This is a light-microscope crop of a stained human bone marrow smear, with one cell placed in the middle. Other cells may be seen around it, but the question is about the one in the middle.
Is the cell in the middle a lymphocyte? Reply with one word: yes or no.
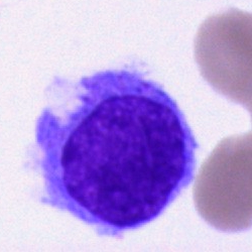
no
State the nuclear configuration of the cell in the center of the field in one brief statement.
The nuclear material is gathered into one compact round, oval or kidney-shaped mass.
